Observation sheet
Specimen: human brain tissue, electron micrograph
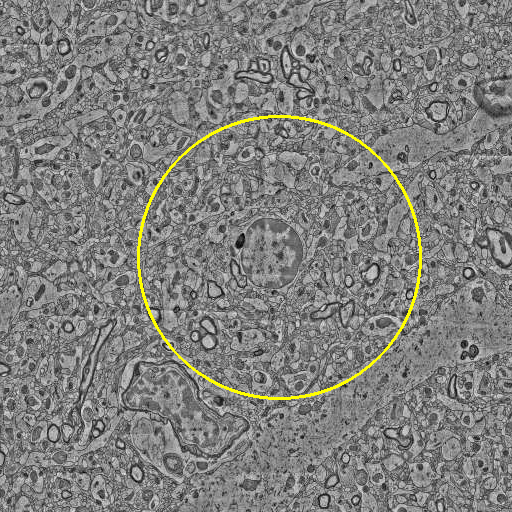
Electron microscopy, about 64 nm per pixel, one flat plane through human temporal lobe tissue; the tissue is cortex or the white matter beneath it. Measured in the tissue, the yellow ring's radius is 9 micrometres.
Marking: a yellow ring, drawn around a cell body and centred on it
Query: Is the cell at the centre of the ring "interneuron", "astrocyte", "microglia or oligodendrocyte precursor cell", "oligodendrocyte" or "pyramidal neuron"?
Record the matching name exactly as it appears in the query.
microglia or oligodendrocyte precursor cell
